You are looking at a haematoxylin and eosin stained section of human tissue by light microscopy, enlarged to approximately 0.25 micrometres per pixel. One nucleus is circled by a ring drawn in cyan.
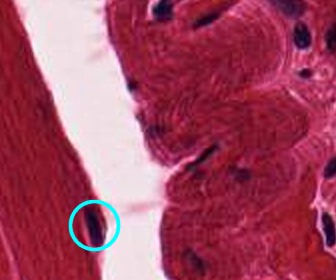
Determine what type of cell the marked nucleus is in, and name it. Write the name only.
skeletal muscle fibre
